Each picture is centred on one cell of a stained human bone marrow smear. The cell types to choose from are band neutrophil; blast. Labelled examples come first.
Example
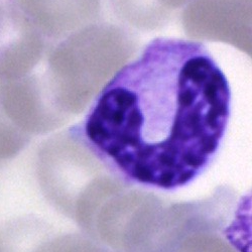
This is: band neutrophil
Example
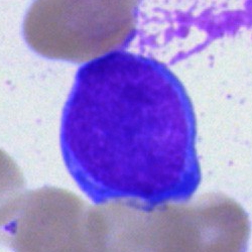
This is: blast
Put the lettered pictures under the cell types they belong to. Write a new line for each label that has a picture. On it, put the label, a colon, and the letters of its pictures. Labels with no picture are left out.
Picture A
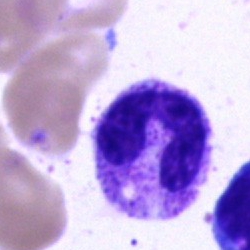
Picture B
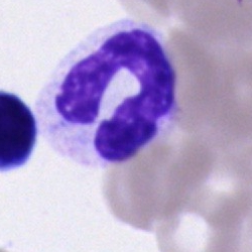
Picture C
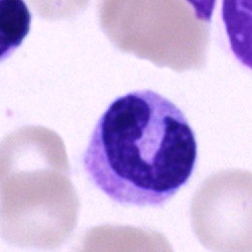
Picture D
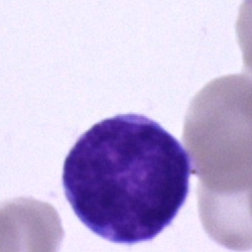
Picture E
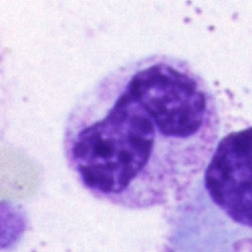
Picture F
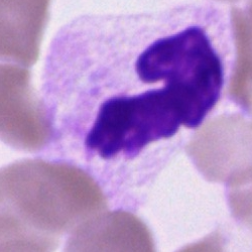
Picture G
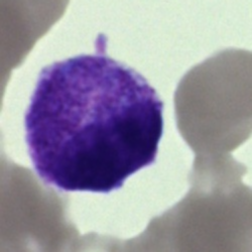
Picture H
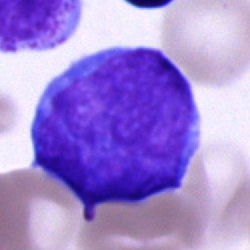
band neutrophil: A, B, C, E, F
blast: D, G, H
